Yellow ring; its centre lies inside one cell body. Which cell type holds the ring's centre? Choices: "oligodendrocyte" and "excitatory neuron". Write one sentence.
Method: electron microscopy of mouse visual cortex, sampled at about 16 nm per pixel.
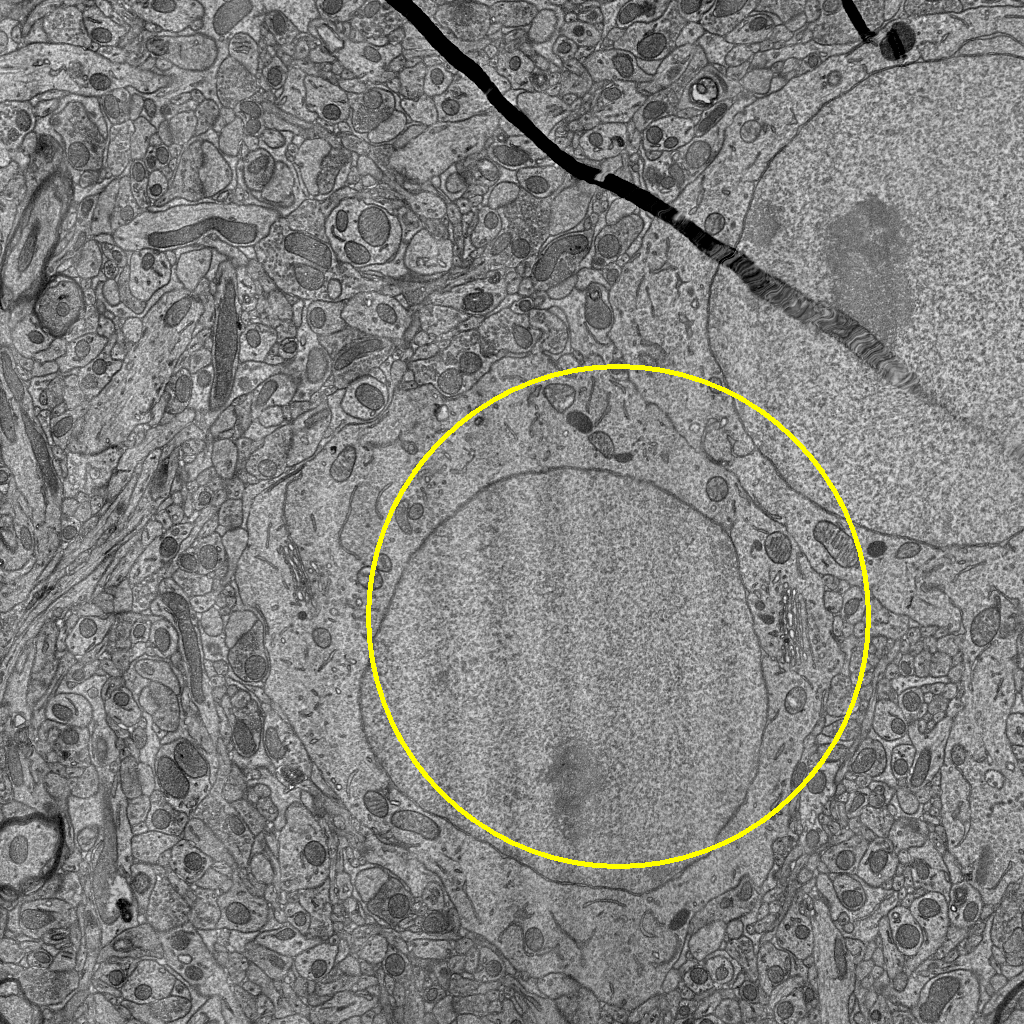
At the centre of the ring sits an excitatory neuron.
